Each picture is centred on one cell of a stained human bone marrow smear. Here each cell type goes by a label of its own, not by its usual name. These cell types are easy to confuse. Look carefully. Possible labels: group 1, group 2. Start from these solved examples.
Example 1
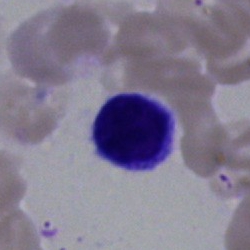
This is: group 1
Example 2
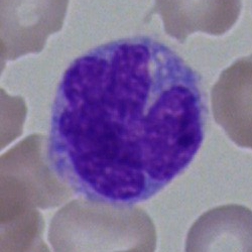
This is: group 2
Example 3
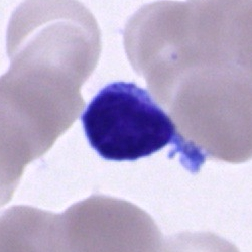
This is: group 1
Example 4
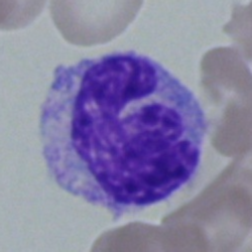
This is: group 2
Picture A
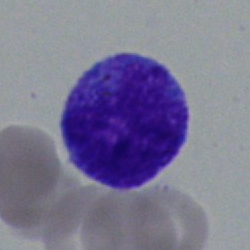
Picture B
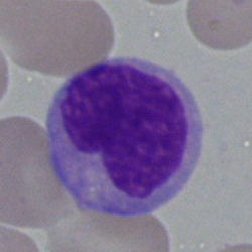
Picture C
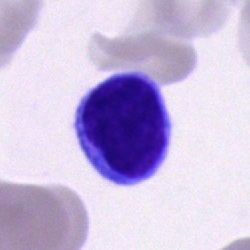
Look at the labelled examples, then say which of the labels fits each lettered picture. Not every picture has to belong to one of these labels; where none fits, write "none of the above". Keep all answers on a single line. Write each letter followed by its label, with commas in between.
A group 2, B group 2, C group 1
